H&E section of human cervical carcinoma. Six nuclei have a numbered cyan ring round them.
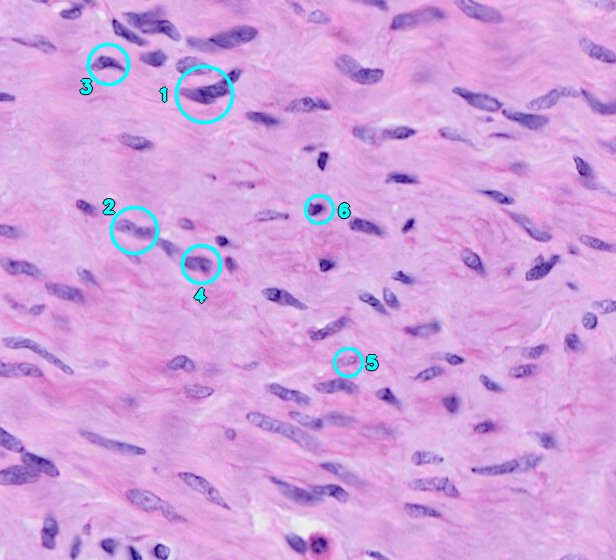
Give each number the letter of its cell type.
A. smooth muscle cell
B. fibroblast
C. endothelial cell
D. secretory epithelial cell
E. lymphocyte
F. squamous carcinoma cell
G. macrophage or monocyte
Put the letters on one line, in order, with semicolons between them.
B; B; B; A; A; B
